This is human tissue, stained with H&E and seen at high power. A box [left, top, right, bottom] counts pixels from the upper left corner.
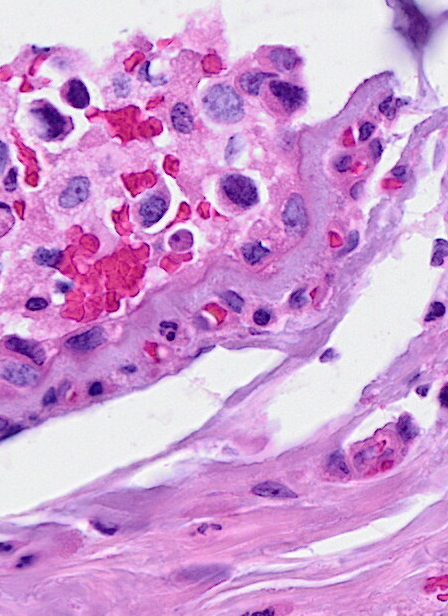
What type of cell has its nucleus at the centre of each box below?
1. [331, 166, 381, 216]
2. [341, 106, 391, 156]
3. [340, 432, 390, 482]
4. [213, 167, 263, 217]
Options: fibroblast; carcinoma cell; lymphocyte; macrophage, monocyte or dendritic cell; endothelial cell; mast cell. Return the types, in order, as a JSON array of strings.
["endothelial cell", "endothelial cell", "endothelial cell", "carcinoma cell"]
